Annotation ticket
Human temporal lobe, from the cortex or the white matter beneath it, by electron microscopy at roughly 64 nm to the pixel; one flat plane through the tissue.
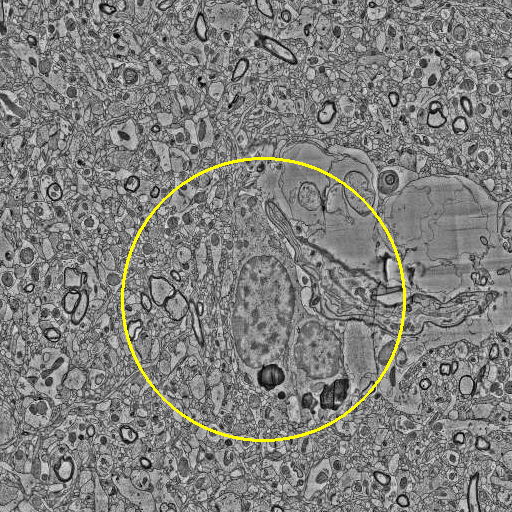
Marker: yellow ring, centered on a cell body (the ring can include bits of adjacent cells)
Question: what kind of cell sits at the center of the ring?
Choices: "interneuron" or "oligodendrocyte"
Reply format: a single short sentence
The ring is centered on an oligodendrocyte.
